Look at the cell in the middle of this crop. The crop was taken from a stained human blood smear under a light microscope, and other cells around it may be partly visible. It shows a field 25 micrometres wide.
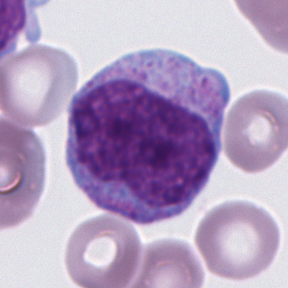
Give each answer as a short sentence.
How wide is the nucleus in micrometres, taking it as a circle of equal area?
Taken as a circle, the nucleus has a diameter of about 11 micrometres.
